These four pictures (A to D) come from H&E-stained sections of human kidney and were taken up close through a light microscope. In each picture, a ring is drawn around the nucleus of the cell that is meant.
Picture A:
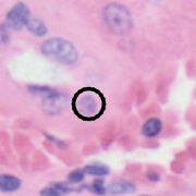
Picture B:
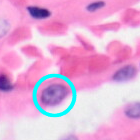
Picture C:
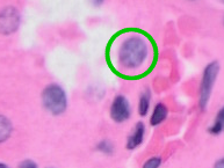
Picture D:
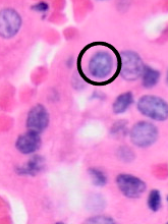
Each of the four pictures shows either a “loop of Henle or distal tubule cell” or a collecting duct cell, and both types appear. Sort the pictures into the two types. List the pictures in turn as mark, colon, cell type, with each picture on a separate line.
A: collecting duct cell
B: loop of Henle or distal tubule cell
C: loop of Henle or distal tubule cell
D: collecting duct cell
